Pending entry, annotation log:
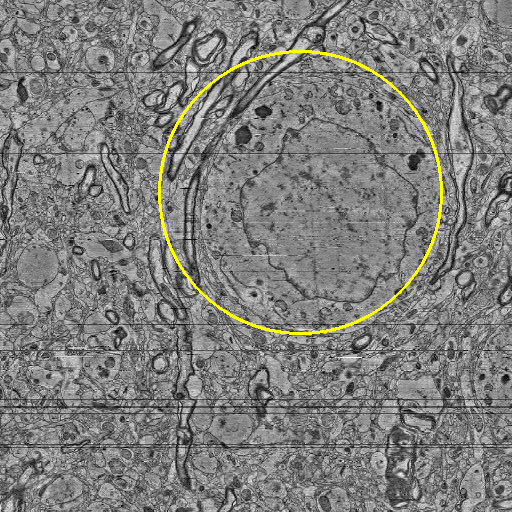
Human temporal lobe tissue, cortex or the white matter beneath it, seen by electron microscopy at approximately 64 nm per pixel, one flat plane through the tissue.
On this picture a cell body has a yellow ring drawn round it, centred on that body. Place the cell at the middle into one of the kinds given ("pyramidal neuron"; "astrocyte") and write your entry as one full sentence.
The cell body at the middle of the yellow ring belongs to a pyramidal neuron.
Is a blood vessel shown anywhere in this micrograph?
No.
